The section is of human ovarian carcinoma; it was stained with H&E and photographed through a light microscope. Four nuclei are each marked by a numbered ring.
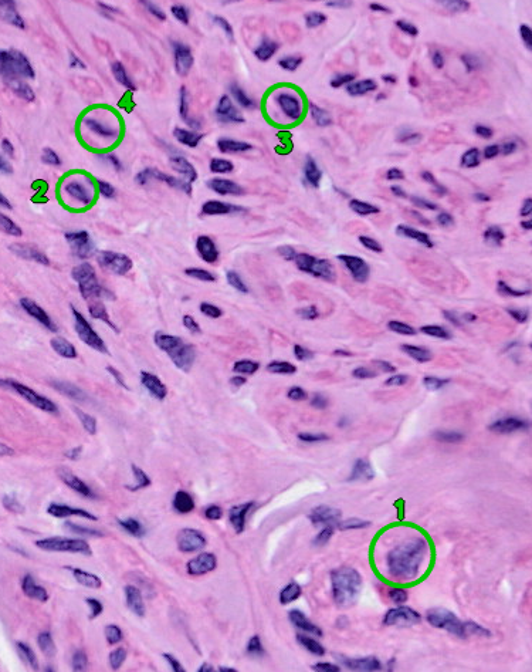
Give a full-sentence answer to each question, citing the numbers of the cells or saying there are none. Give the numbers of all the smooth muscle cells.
The numbers 2, 3 and 4 refer to cells that are smooth muscle cells.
